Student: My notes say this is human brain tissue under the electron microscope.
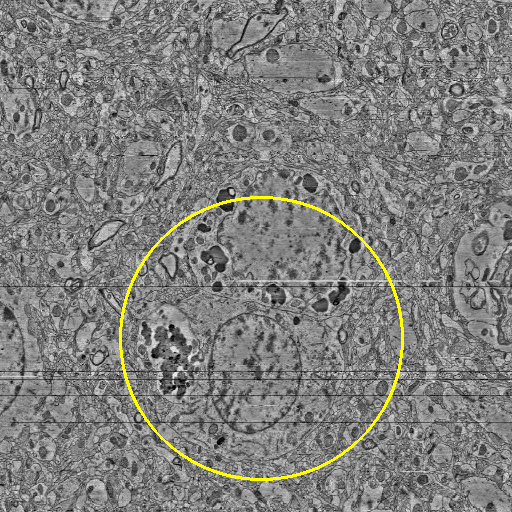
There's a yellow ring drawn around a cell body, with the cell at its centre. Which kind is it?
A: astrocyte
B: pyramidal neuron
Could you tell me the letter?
B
